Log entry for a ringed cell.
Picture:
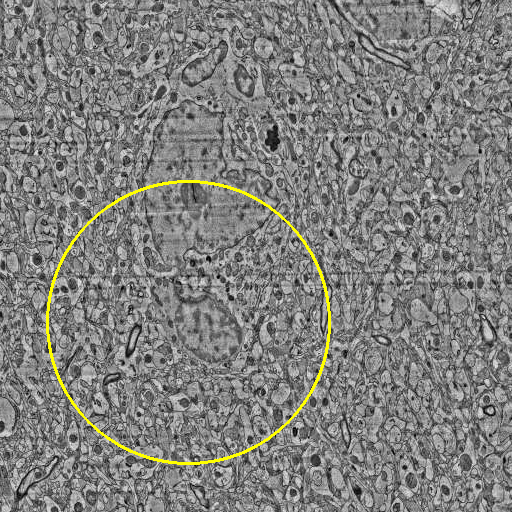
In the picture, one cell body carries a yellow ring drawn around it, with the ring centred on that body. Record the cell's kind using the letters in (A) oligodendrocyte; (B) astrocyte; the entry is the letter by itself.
A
